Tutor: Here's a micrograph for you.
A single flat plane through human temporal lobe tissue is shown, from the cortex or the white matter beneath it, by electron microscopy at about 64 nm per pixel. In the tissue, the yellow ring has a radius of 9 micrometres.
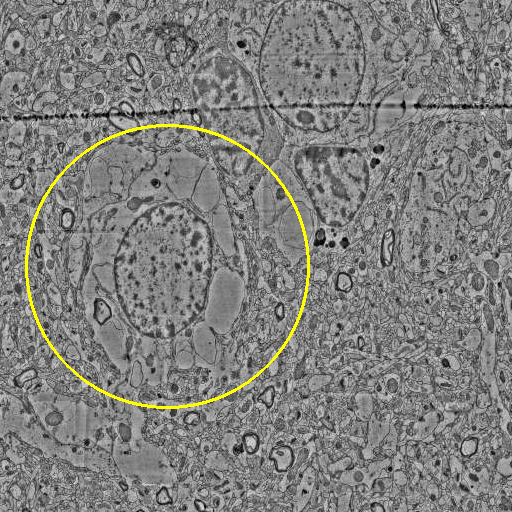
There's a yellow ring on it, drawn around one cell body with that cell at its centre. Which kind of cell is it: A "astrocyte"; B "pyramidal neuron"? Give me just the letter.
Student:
A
